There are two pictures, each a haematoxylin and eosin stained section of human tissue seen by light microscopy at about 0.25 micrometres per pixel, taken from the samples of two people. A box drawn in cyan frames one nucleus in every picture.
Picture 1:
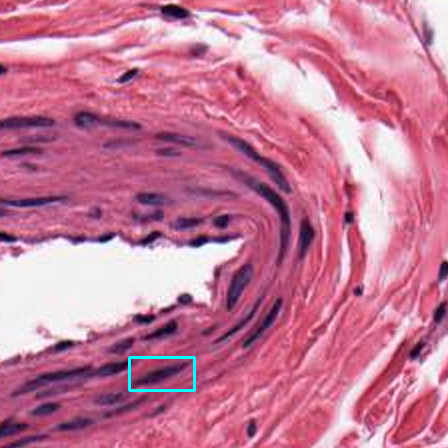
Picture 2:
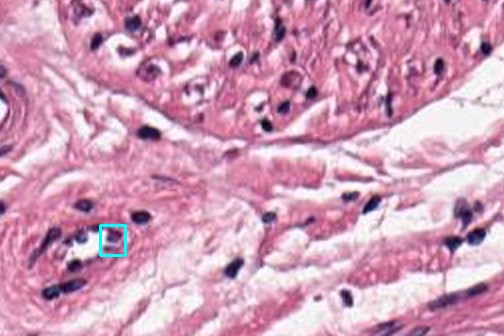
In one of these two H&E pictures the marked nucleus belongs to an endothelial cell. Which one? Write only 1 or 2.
2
